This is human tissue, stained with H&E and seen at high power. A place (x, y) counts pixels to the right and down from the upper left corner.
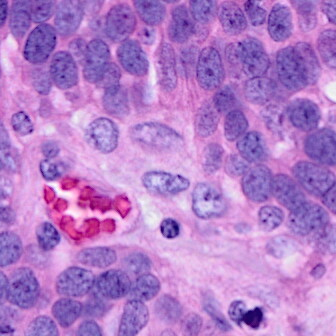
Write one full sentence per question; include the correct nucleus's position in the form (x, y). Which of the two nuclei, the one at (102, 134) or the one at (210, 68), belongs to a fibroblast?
The nucleus at (102, 134) is the one that belongs to a fibroblast.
